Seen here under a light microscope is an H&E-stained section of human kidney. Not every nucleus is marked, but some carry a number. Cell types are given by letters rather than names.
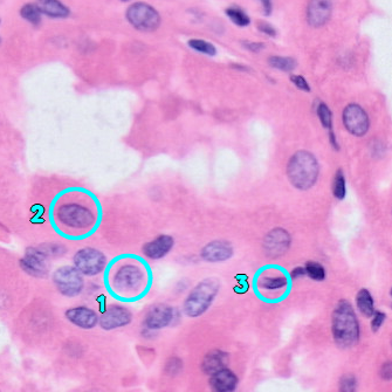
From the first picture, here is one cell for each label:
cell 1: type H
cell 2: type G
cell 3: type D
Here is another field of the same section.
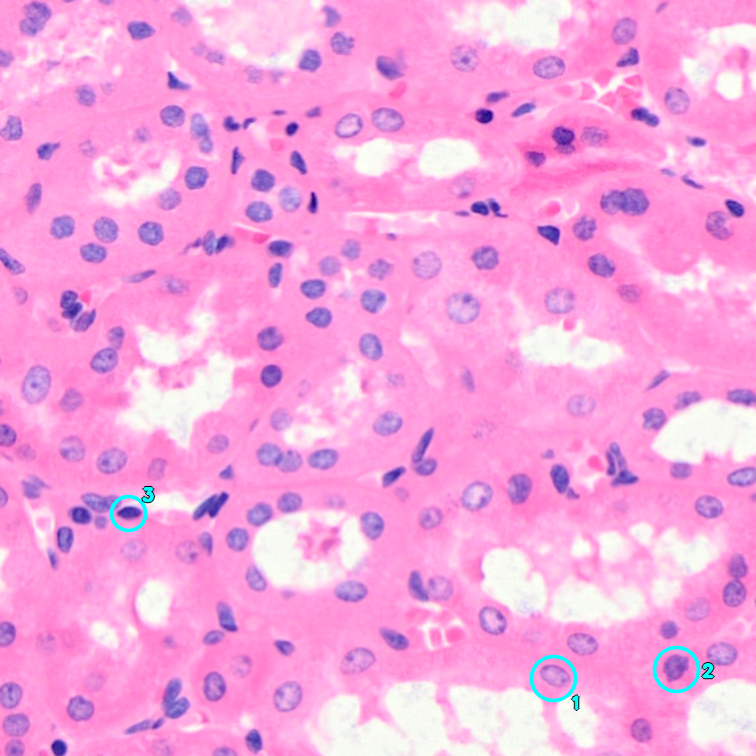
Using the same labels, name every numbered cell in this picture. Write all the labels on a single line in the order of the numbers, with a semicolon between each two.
type G; type G; type D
